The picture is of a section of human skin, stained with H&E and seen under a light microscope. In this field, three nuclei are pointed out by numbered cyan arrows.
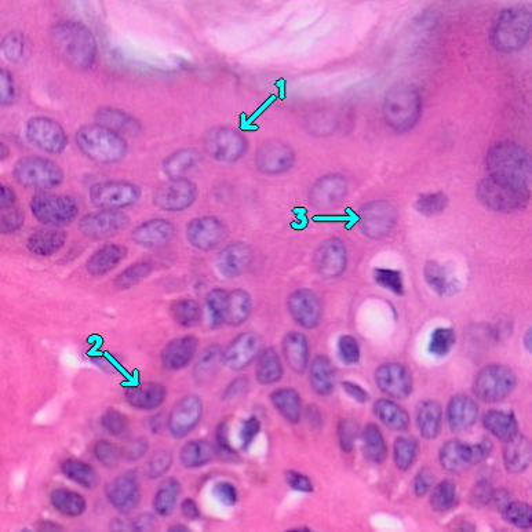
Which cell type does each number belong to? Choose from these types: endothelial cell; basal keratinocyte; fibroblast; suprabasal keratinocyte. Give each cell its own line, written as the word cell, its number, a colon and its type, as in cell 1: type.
cell 1: suprabasal keratinocyte
cell 2: basal keratinocyte
cell 3: suprabasal keratinocyte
